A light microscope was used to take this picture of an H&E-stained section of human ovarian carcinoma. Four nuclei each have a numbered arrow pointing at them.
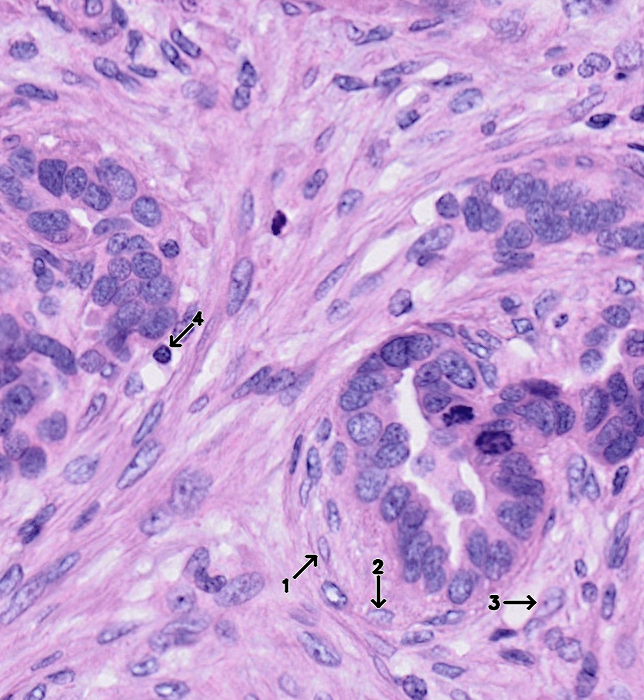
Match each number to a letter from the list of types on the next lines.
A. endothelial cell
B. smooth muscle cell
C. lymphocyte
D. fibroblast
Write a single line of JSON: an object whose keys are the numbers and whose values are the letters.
{"1": "D", "2": "D", "3": "D", "4": "C"}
